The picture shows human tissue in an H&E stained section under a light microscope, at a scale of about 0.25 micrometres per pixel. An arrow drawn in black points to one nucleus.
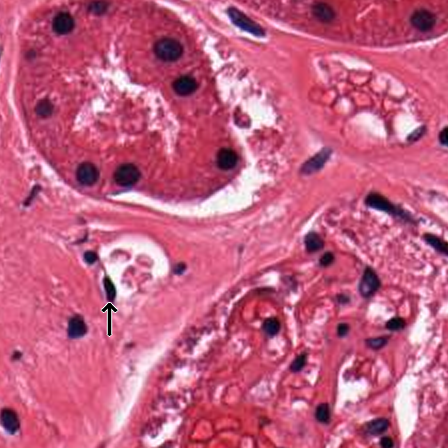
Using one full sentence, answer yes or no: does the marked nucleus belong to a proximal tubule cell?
No, it is a supporting cell whose nucleus is marked, not a proximal tubule cell.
